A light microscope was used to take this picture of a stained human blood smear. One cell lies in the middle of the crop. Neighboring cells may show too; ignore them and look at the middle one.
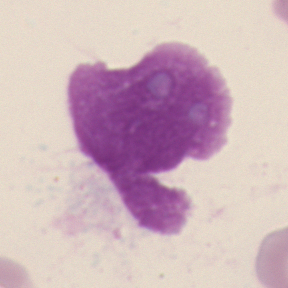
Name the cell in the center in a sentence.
The single cell at the center of the crop is a smudge cell.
